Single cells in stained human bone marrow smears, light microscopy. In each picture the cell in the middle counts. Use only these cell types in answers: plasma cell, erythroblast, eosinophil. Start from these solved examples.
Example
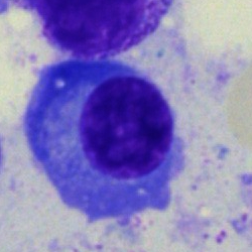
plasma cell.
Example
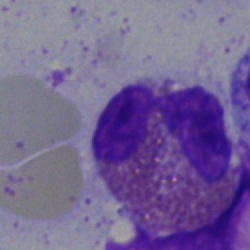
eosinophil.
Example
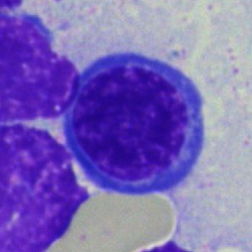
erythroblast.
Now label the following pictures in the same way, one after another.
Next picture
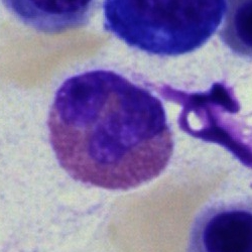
eosinophil.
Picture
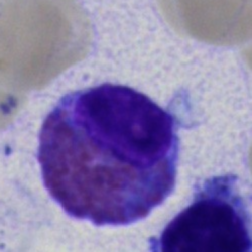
eosinophil.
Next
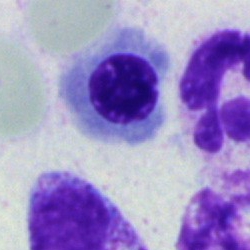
erythroblast.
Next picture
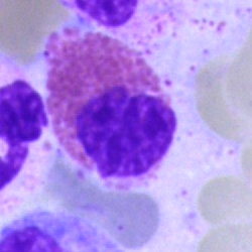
eosinophil.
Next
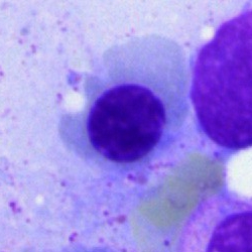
erythroblast.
